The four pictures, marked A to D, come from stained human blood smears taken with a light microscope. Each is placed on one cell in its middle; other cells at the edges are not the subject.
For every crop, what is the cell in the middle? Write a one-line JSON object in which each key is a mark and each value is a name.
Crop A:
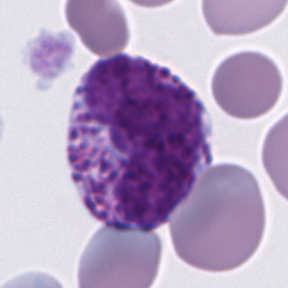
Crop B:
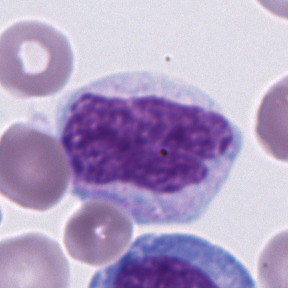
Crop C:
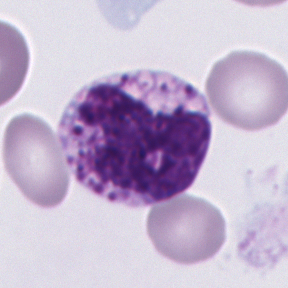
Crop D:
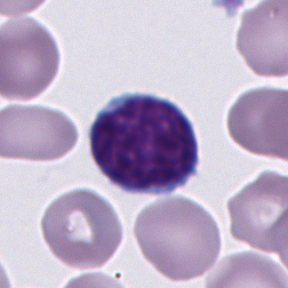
{"A": "basophil", "B": "myelocyte", "C": "basophil", "D": "typical lymphocyte"}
